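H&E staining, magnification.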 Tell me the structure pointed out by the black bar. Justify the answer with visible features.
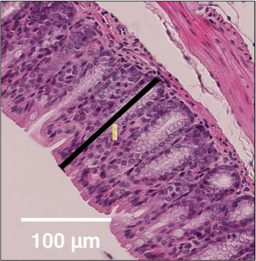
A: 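Crypt. The black line runs along tubular glands set side by side in the mucosa. The glands are lined by columnar epithelium with pale goblet cells.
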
